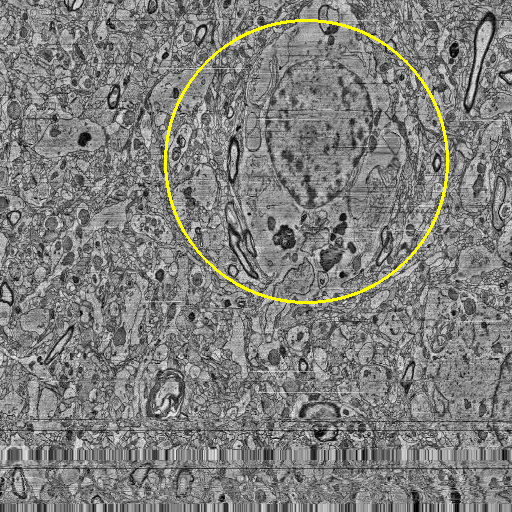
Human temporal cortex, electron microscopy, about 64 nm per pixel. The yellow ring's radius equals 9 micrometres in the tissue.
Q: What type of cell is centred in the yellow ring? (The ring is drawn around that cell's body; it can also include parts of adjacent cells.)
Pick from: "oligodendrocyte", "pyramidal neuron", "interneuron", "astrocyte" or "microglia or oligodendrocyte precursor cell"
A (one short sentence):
The yellow ring is centred on an astrocyte.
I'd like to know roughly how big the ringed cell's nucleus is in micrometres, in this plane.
Approximately 10 by 7 micrometers in this plane.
